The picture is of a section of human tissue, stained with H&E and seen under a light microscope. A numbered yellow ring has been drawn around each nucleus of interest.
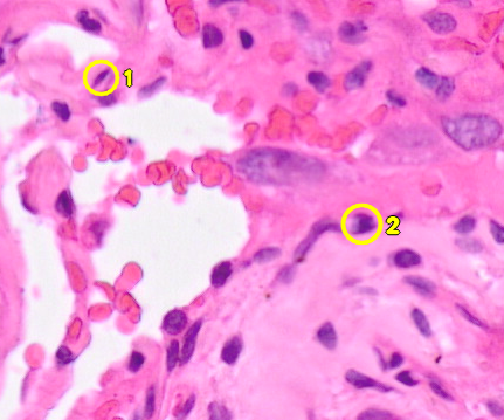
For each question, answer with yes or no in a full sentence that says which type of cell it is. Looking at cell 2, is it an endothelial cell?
No, the cell numbered 2 is a lymphocyte rather than an endothelial cell.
